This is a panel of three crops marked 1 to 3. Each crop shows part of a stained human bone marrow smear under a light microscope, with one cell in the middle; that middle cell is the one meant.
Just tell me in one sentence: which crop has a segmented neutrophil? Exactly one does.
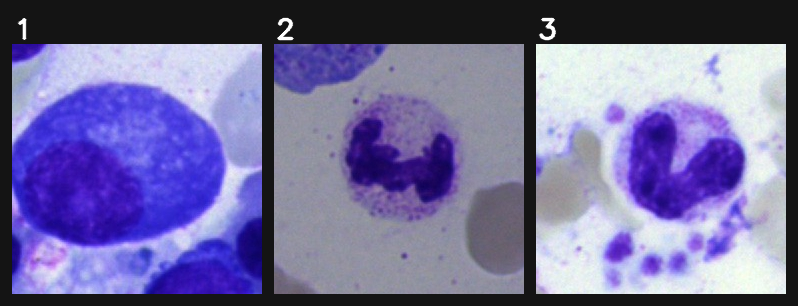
Crop 2, and no other, is the one that shows a segmented neutrophil.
